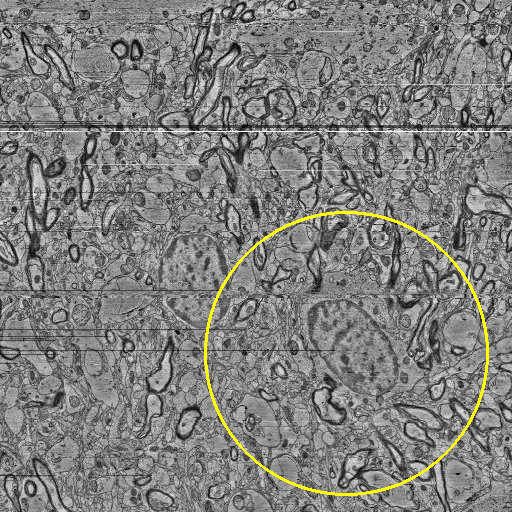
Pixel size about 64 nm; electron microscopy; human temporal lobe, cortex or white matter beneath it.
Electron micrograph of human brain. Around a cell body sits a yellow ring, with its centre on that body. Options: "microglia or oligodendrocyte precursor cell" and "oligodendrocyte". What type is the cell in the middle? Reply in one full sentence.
The cell sitting at the centre of the yellow ring is an oligodendrocyte.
